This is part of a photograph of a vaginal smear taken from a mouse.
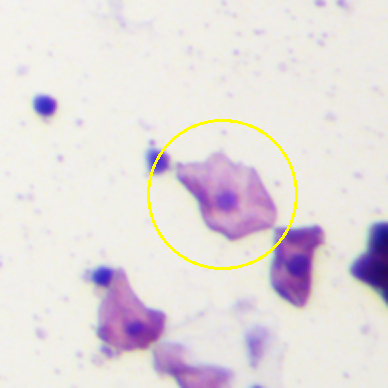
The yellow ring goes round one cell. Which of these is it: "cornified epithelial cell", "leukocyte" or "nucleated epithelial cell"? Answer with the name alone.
nucleated epithelial cell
